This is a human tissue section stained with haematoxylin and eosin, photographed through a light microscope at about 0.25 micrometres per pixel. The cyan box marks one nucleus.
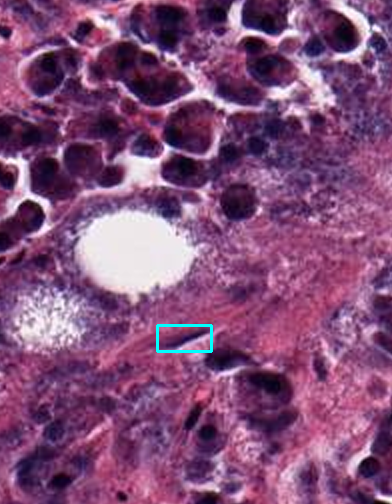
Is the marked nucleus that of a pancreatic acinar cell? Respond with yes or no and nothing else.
no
